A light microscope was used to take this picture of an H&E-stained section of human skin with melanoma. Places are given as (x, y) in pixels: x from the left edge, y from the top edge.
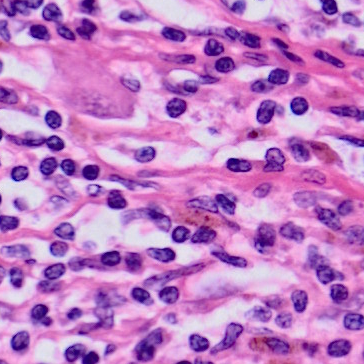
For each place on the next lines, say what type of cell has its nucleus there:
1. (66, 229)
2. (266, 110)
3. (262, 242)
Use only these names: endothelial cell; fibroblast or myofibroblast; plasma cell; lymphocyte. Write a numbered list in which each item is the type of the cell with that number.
1. lymphocyte
2. lymphocyte
3. plasma cell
